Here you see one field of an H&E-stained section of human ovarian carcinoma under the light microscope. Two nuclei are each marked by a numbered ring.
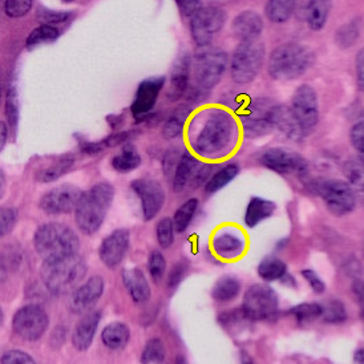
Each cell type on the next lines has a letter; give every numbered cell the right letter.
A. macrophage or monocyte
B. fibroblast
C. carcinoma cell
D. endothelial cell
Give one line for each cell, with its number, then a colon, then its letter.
1: A
2: C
